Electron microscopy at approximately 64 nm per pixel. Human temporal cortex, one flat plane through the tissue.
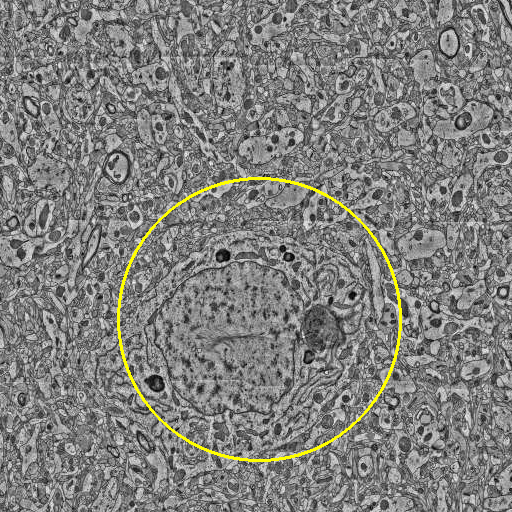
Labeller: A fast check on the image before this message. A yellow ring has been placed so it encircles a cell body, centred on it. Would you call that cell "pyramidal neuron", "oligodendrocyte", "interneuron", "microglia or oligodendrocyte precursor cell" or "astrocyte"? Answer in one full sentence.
In this image, an interneuron is the cell on which the yellow ring is centred.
